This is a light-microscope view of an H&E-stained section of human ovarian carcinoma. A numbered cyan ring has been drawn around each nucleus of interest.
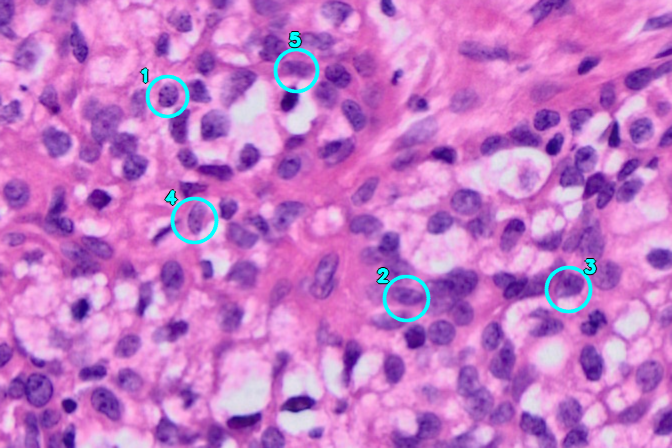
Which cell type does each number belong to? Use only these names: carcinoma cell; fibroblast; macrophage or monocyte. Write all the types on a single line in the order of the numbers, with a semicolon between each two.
macrophage or monocyte; carcinoma cell; carcinoma cell; macrophage or monocyte; carcinoma cell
